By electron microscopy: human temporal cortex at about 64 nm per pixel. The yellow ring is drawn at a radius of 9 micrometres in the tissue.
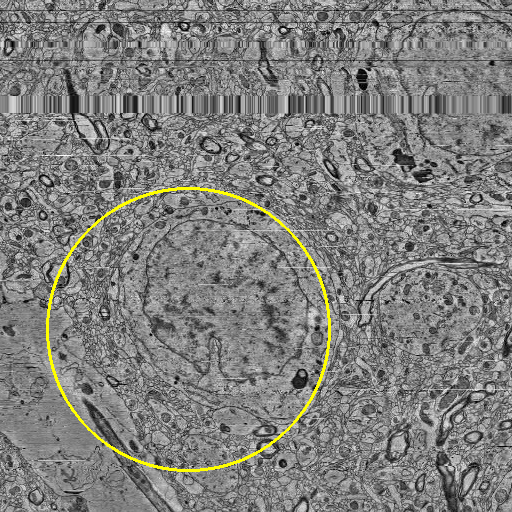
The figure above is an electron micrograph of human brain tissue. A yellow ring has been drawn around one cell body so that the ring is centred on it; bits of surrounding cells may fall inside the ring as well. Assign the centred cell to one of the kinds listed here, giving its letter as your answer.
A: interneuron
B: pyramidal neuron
B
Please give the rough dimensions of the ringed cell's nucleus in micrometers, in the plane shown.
The nucleus is approximately 12 micrometers long by 10 micrometers wide in this plane.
